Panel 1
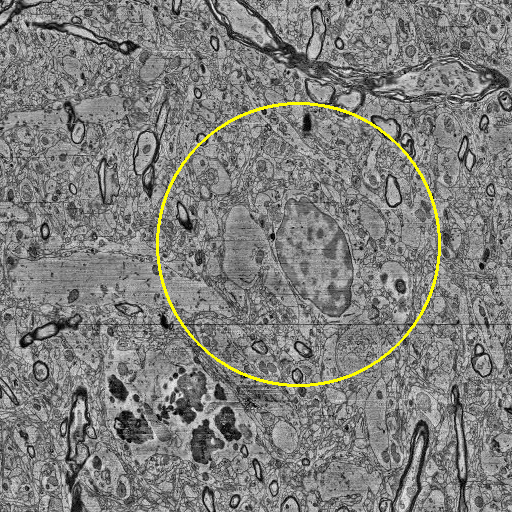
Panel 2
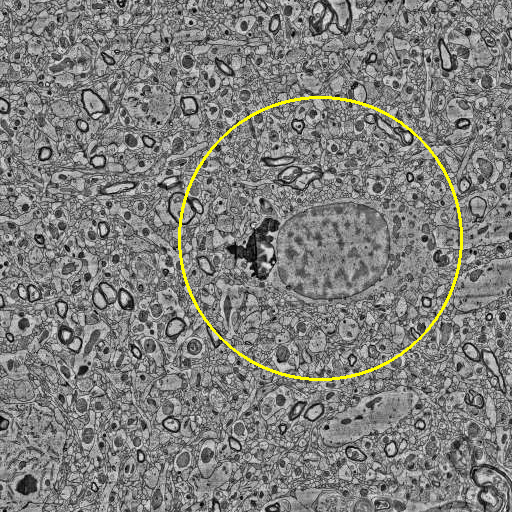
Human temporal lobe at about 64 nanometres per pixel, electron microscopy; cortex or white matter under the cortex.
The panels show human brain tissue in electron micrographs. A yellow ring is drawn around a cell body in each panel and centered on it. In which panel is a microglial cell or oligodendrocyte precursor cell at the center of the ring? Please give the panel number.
1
